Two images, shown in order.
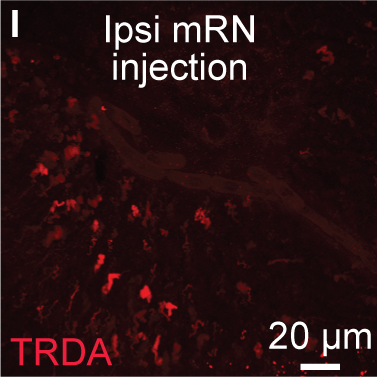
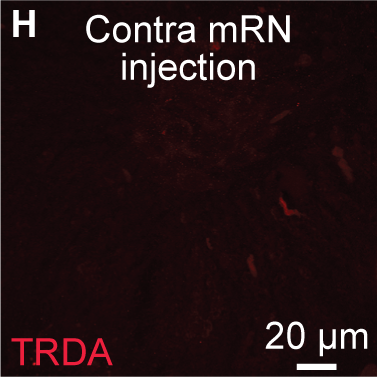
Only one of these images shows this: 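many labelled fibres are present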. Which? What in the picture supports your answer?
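The first image. Second image: only a few faint red profiles on a dark background. First image: numerous bright red fibre fragments and puncta scattered across the field.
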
